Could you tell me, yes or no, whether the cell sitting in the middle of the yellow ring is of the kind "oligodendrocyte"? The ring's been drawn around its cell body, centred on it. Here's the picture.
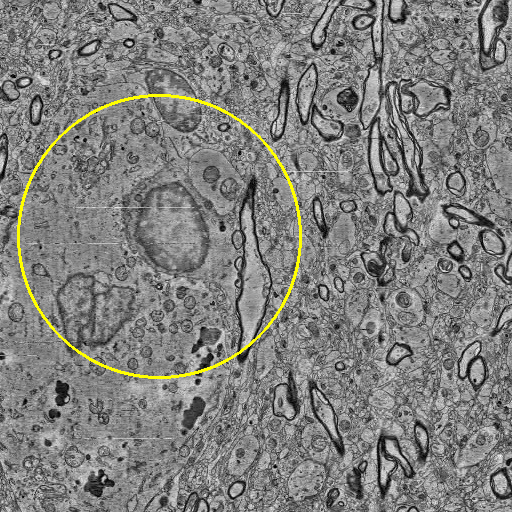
Yes, it is.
